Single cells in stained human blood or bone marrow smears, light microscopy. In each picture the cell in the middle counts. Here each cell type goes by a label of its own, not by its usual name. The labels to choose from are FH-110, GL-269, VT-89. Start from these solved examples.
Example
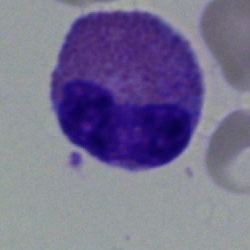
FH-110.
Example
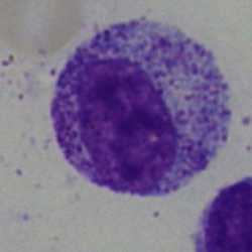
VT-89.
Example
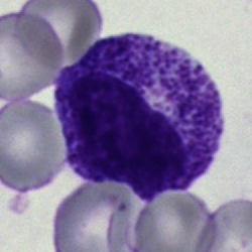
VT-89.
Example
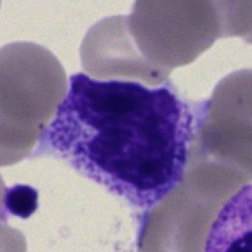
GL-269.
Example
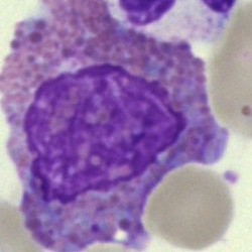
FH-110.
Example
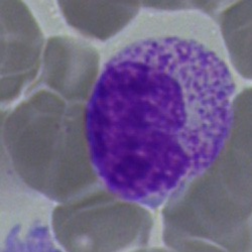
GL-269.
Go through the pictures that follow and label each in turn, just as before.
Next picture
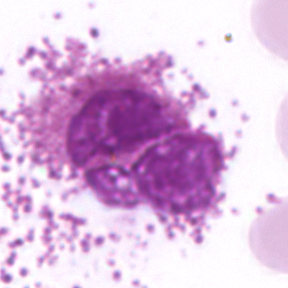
FH-110.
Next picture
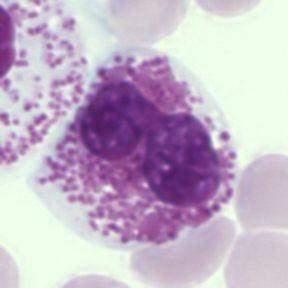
FH-110.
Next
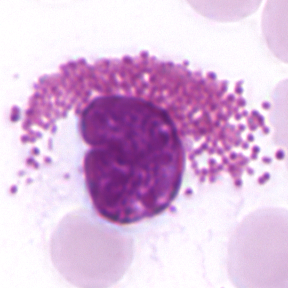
FH-110.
